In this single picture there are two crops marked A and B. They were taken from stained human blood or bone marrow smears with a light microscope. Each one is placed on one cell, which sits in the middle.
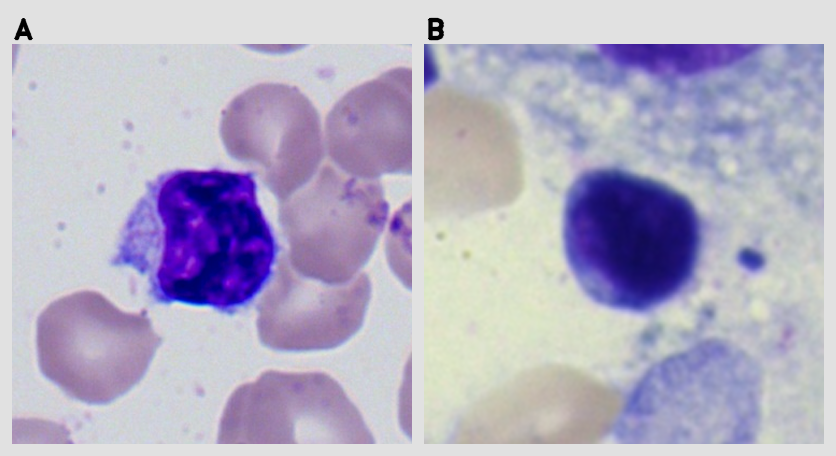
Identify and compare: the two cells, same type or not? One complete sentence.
Yes, both crops feature lymphocytes at the centre.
